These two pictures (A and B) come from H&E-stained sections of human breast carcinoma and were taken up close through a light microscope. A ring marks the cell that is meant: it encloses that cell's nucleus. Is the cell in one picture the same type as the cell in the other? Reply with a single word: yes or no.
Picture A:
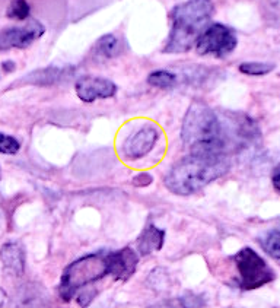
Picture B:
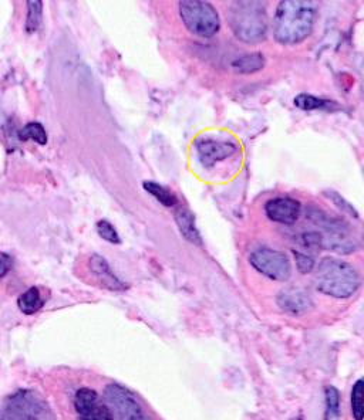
yes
